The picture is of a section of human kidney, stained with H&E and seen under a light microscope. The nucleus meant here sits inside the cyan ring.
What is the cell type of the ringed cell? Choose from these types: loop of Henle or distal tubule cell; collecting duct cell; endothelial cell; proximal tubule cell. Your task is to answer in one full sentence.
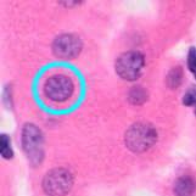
Among the cells in this section, the ringed cell is a proximal tubule cell.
